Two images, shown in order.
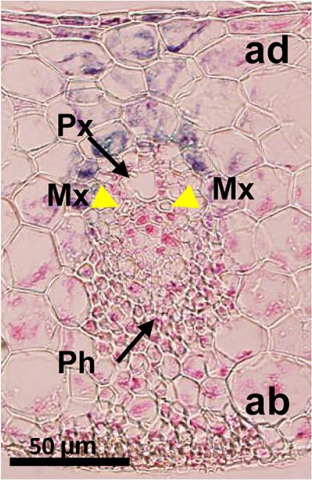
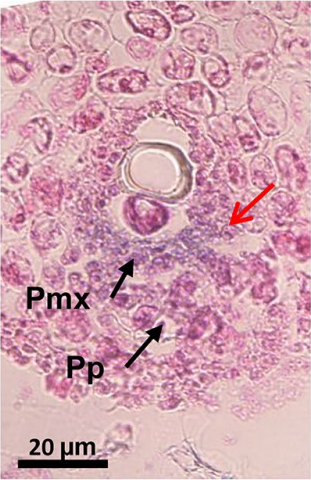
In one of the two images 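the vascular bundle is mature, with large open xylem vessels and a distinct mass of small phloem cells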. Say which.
The first image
